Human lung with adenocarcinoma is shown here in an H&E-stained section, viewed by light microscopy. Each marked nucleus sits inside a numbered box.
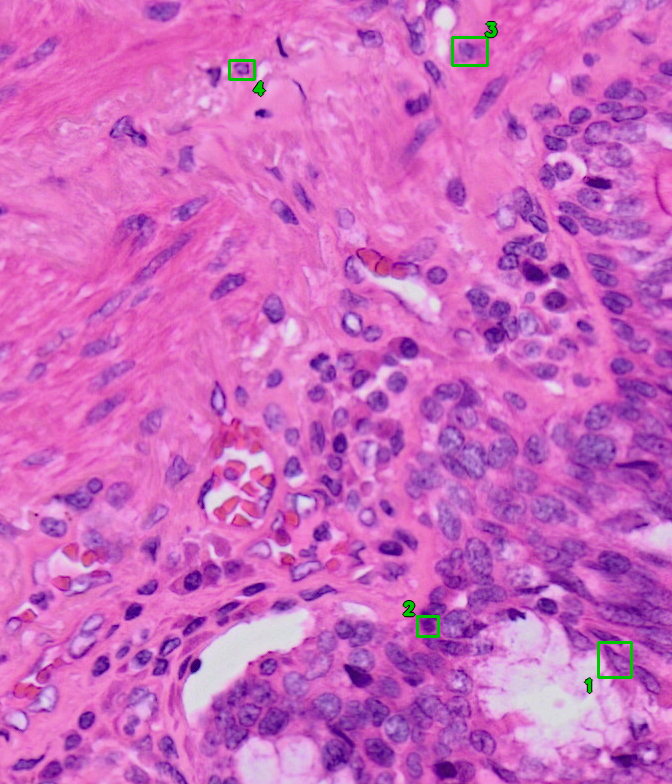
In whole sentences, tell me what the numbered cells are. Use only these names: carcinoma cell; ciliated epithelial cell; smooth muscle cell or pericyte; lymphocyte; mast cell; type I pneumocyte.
Cell 1 is a ciliated epithelial cell, cell 2 is a ciliated epithelial cell, cell 3 is a smooth muscle cell or pericyte and cell 4 is a mast cell.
